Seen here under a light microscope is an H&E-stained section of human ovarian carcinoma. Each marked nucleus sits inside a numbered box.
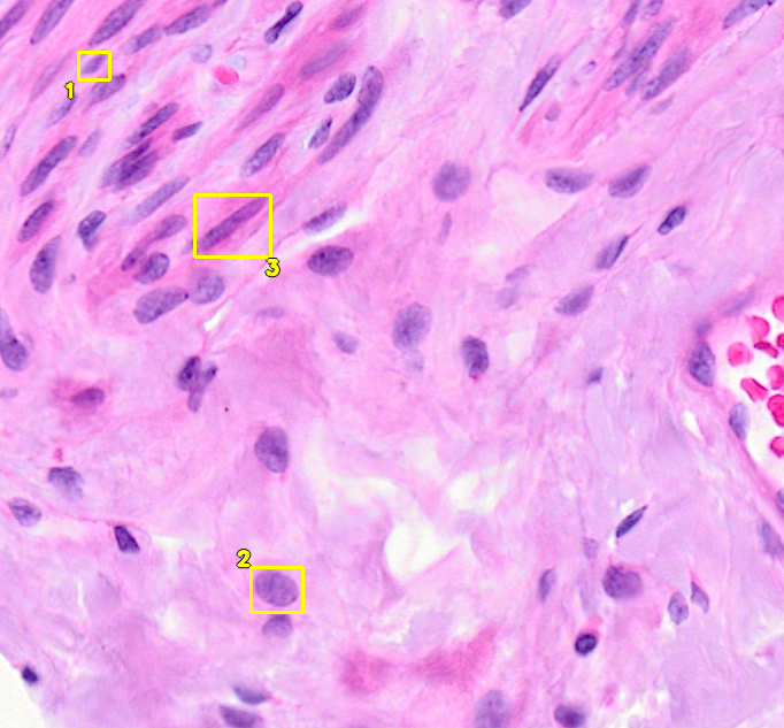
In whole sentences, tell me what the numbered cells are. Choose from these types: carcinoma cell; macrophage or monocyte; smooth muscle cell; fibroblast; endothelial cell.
Cells 1 and 3 are smooth muscle cells. Cell 2 is a fibroblast.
